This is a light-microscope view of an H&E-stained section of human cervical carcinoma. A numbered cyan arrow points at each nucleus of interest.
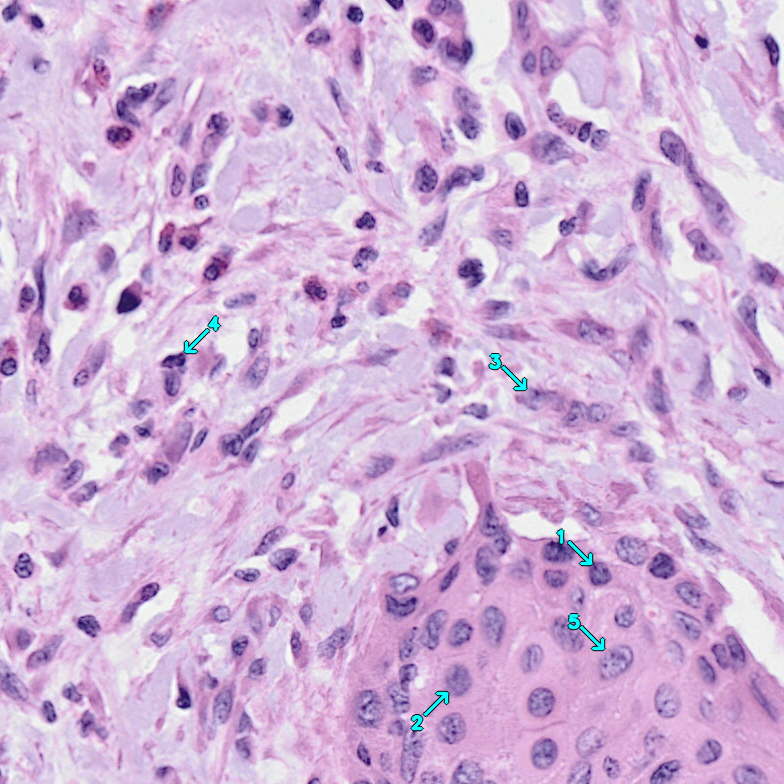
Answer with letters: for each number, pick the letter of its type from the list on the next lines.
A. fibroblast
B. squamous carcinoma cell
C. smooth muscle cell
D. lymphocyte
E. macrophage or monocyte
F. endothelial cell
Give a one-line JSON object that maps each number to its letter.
{"1": "B", "2": "B", "3": "A", "4": "D", "5": "B"}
